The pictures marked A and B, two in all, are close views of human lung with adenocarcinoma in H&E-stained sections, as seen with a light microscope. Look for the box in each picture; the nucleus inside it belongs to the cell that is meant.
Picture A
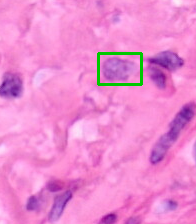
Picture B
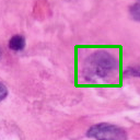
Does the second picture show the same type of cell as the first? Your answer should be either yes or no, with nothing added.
yes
